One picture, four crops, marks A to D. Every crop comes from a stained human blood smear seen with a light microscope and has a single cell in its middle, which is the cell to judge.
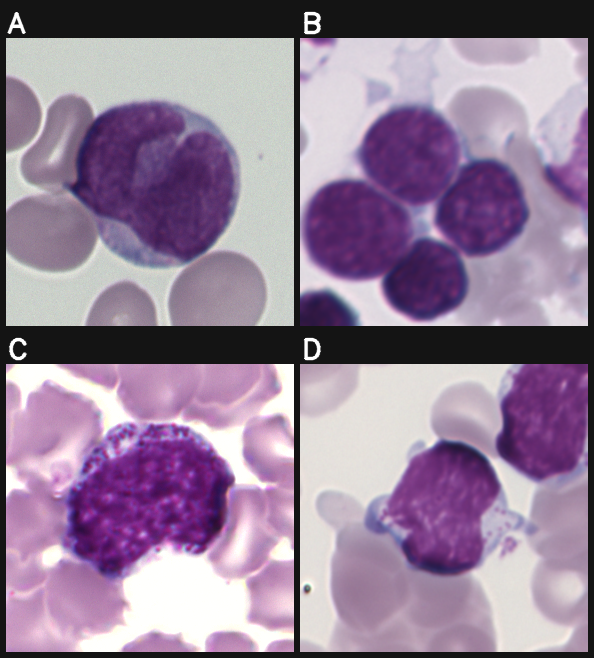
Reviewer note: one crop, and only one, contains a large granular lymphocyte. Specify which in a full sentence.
The sole crop showing a large granular lymphocyte is crop D.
